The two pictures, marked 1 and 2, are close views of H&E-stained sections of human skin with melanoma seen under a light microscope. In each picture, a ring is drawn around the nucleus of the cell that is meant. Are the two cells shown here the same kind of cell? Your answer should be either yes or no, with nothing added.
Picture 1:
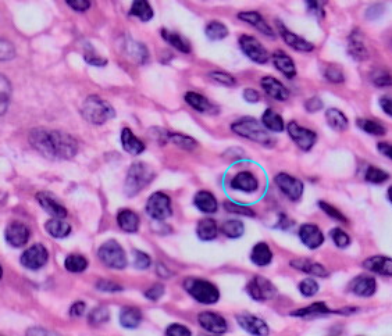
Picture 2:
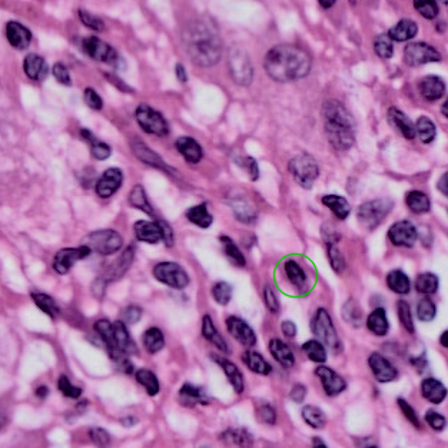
no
